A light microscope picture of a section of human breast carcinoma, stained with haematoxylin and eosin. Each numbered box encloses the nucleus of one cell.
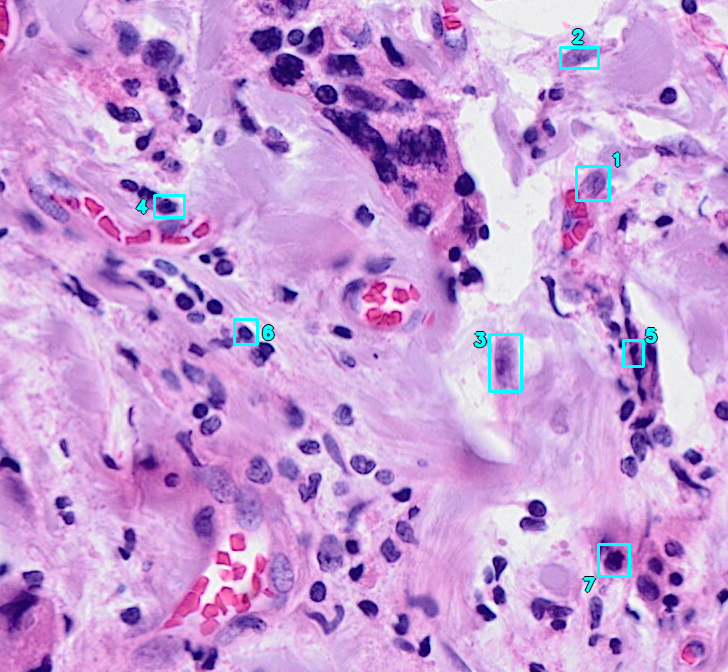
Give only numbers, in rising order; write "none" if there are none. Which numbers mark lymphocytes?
4, 5, 6, 7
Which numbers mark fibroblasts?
2, 3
